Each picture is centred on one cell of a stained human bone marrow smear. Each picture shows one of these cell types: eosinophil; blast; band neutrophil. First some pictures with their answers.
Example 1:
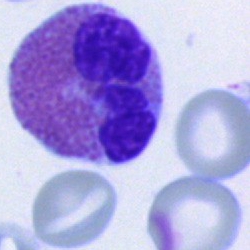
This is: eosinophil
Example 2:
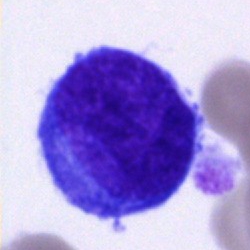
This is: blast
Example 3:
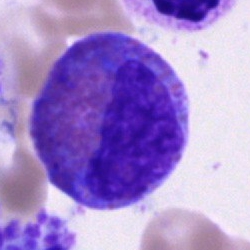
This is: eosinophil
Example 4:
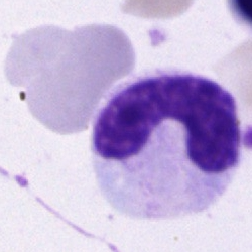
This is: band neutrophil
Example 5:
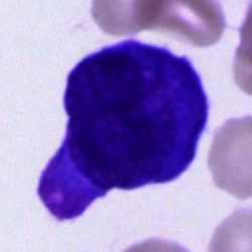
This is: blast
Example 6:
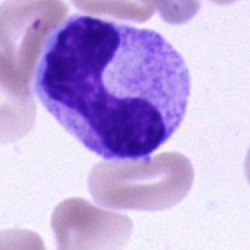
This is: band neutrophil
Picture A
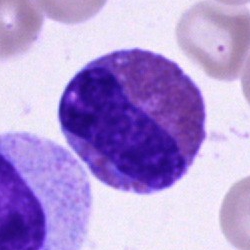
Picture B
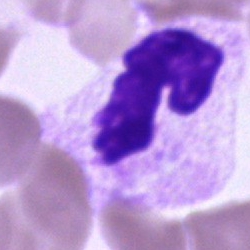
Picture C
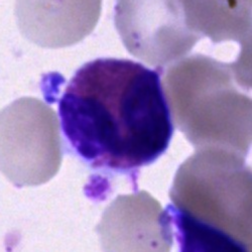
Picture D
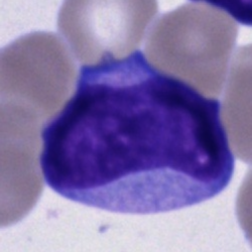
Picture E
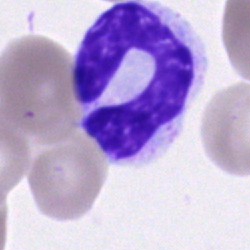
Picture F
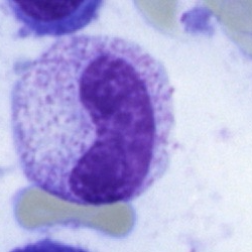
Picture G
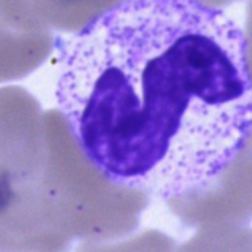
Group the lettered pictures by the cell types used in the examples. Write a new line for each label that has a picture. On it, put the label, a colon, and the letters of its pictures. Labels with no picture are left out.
eosinophil: A, C
blast: D
band neutrophil: B, E, F, G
